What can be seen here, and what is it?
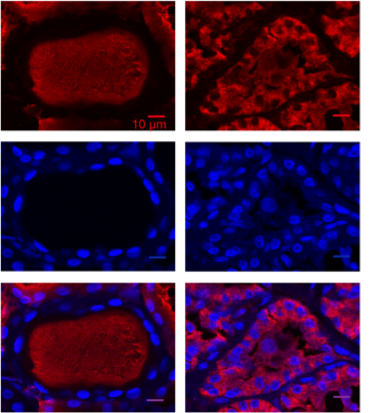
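Thyroid tissue with follicles lined by thyrocytes. On the left a single follicle has a large lumen filled uniformly with red material, surrounded by one ring of flattened to cuboidal cells whose blue oval nuclei sit at the rim, with little red in their cytoplasm. On the right the architecture is disturbed: cells are crowded, and their cytoplasm is packed with coarse granular red deposits around the blue nuclei, while the follicle lumen is small and only patchily red rather than evenly filled.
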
